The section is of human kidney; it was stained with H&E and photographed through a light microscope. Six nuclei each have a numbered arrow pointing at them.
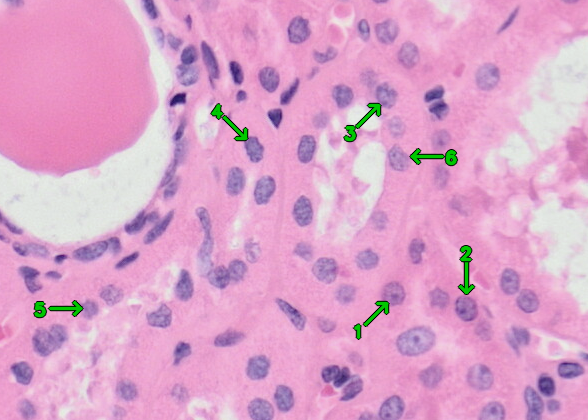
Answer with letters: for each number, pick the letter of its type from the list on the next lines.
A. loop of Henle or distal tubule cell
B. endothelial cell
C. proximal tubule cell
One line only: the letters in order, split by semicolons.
C; C; A; A; A; A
